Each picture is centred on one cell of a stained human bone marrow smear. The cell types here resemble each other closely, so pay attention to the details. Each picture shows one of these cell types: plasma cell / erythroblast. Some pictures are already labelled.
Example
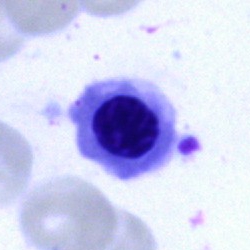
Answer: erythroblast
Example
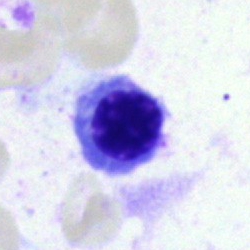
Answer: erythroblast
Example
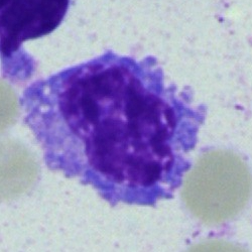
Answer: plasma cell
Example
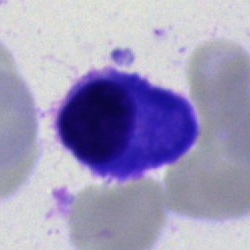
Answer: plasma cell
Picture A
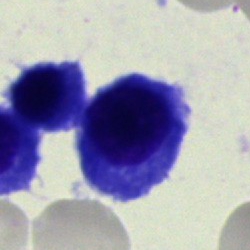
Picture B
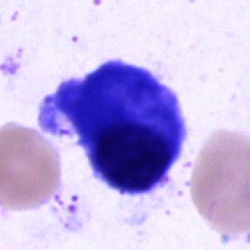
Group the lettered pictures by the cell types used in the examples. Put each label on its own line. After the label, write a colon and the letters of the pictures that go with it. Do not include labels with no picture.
plasma cell: B
erythroblast: A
